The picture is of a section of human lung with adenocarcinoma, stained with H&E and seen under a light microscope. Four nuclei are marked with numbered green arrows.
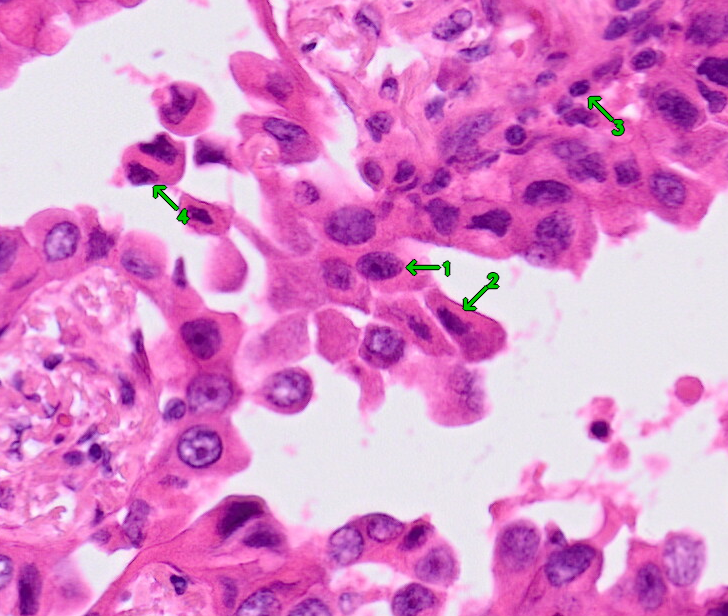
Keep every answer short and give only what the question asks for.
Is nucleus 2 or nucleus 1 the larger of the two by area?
1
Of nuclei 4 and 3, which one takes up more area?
4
